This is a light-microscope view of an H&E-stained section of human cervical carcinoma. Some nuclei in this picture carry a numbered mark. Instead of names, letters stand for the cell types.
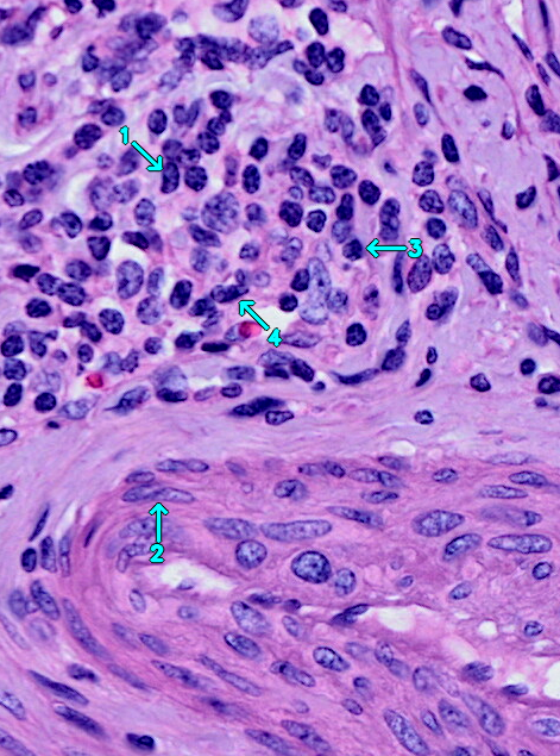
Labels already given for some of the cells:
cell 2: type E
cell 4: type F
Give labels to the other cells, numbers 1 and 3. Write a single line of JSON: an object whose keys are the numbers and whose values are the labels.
{"1": "type F", "3": "type F"}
